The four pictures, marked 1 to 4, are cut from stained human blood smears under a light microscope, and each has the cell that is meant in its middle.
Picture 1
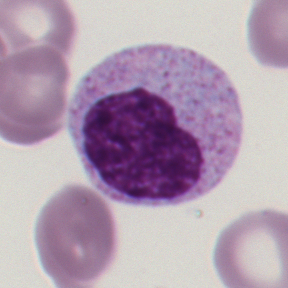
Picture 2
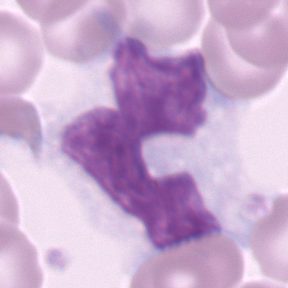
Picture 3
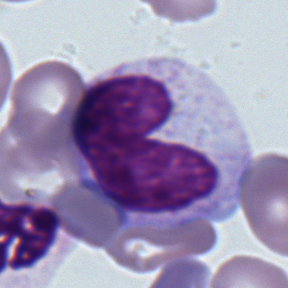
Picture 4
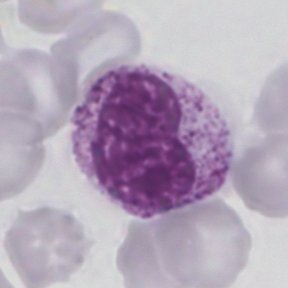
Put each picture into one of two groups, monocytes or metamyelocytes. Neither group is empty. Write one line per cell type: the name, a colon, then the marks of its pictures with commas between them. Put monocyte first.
monocyte: 2
metamyelocyte: 1, 3, 4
